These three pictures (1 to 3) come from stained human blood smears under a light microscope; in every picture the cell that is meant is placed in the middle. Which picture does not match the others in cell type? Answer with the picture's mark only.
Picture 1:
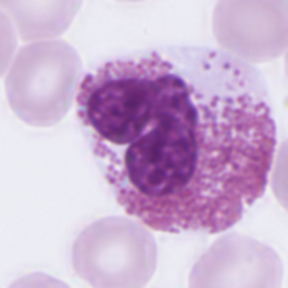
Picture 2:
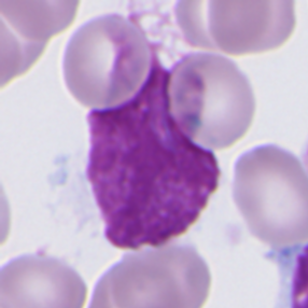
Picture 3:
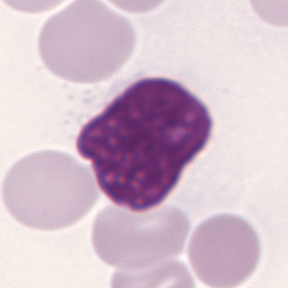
1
